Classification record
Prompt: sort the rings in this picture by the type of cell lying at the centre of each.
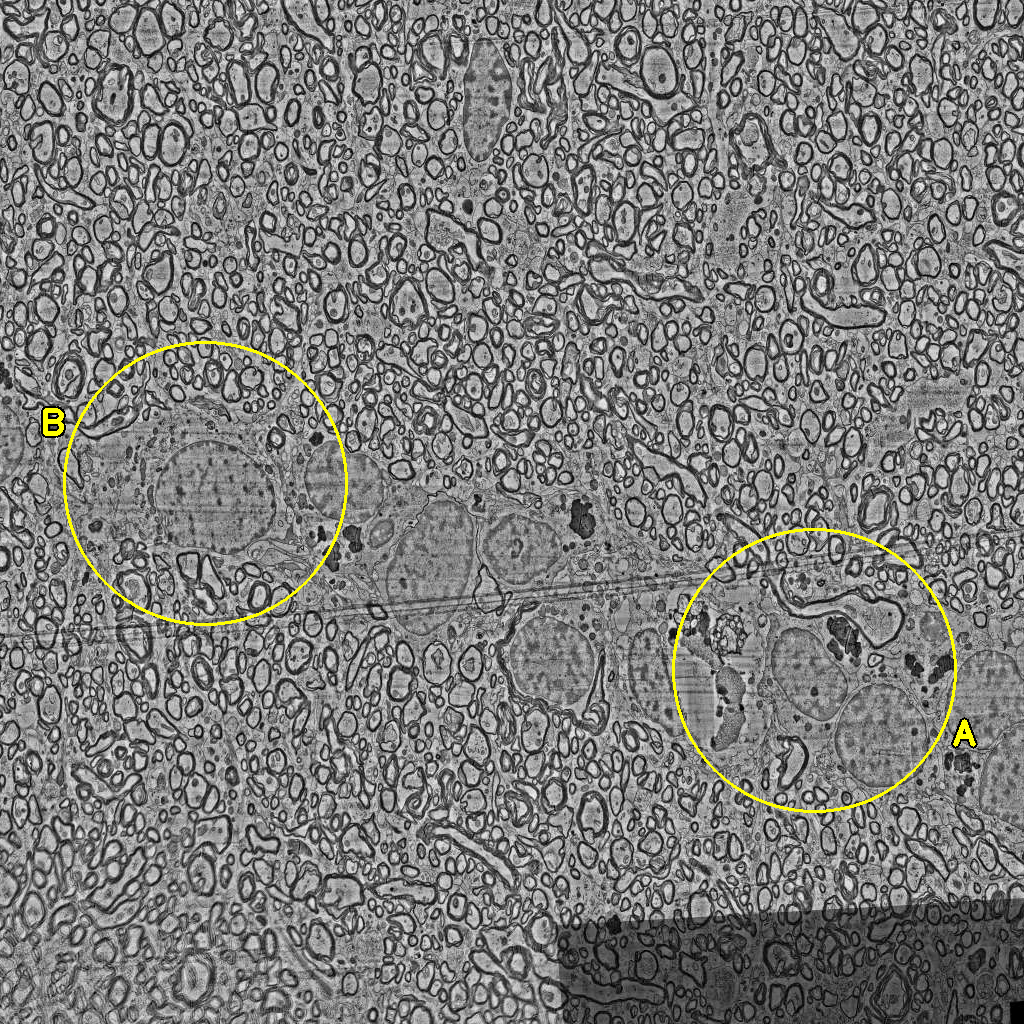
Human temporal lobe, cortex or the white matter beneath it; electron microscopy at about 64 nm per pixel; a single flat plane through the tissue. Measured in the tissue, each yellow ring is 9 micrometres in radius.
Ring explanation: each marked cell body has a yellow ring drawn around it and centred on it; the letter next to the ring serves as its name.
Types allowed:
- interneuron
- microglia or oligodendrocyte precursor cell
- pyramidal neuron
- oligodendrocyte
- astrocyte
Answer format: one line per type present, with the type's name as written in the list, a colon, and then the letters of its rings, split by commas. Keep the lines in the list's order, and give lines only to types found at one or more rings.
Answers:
oligodendrocyte: A
astrocyte: B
